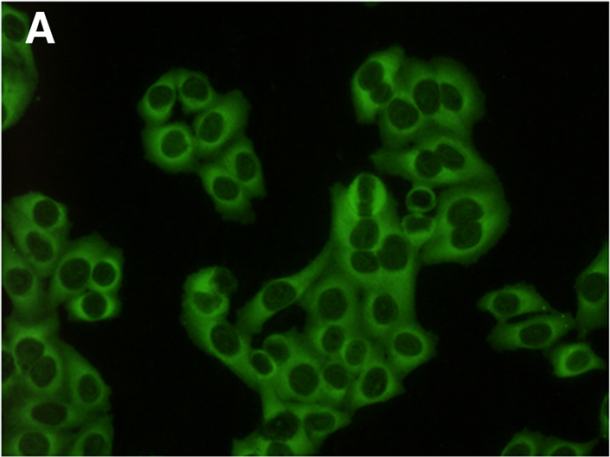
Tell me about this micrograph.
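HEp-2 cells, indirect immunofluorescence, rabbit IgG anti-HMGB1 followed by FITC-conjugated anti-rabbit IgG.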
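Cultured epithelial cells grow in tight clusters and islands separated by dark empty spaces. Each cell has a large round to oval nucleus that stays dark, surrounded by green-fluorescent cytoplasm. Some cells are rounded and smaller, others spread and polygonal.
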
